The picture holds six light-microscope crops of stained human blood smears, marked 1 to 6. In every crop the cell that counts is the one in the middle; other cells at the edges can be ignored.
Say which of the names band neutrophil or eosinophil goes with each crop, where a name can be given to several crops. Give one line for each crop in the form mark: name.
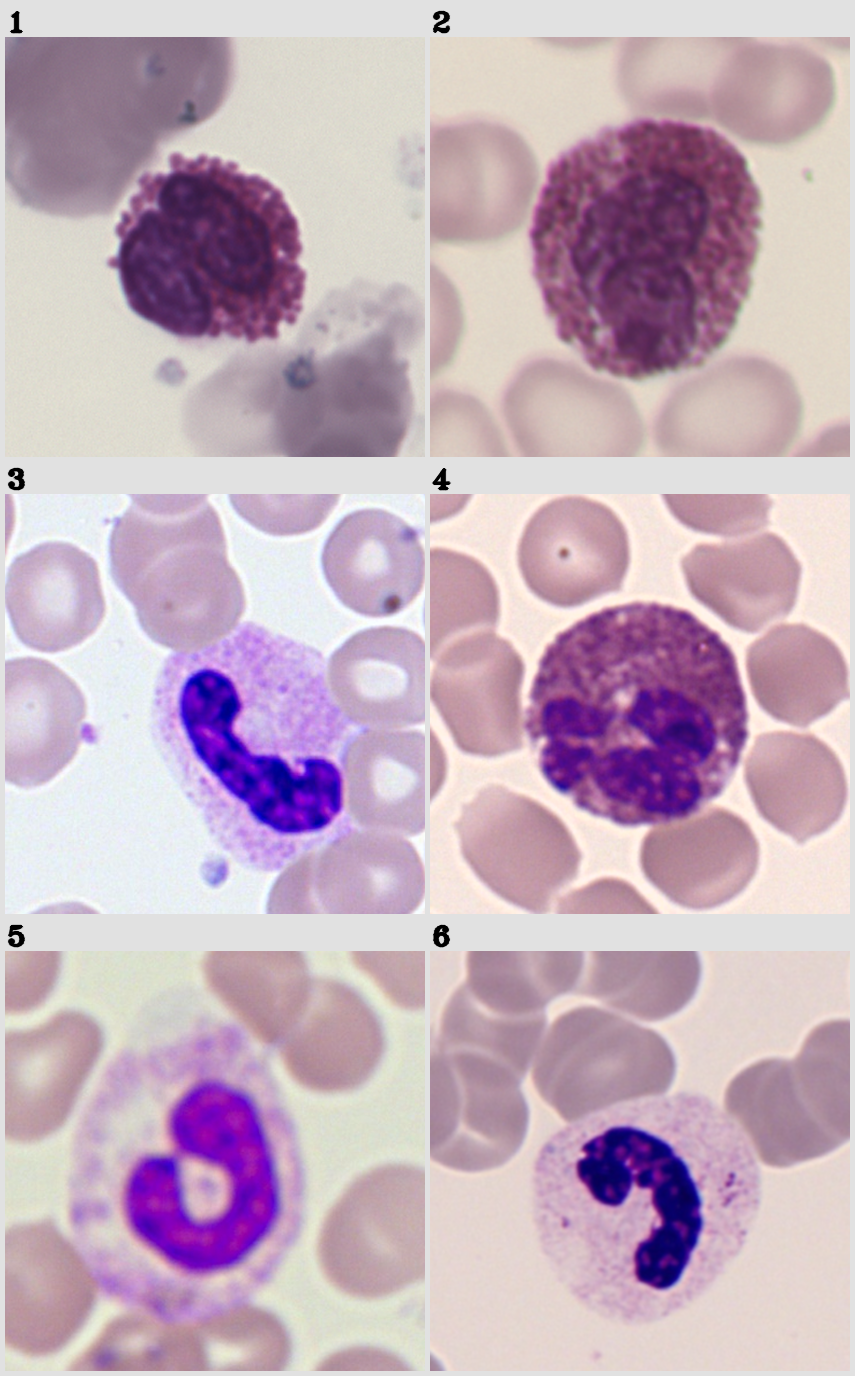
1: eosinophil
2: eosinophil
3: band neutrophil
4: eosinophil
5: band neutrophil
6: band neutrophil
